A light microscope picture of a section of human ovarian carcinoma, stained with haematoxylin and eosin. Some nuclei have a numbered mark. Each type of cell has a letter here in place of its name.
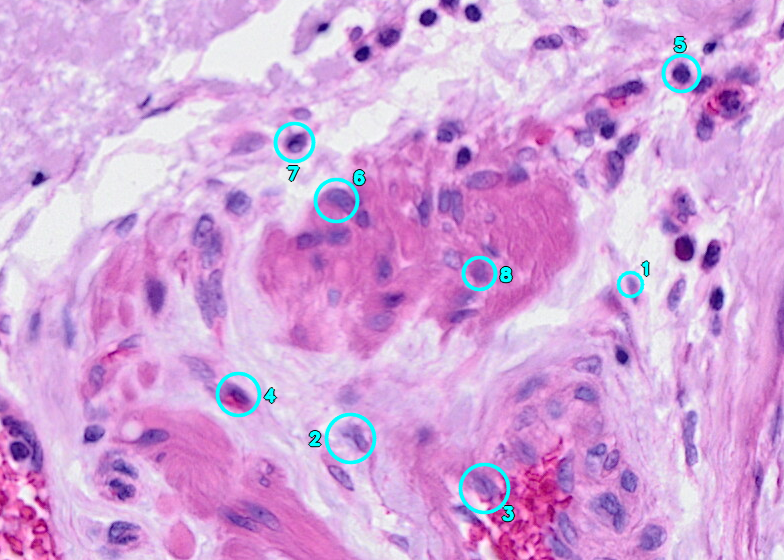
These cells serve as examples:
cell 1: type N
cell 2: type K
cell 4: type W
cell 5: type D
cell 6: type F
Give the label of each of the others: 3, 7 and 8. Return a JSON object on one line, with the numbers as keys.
{"3": "type W", "7": "type N", "8": "type F"}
